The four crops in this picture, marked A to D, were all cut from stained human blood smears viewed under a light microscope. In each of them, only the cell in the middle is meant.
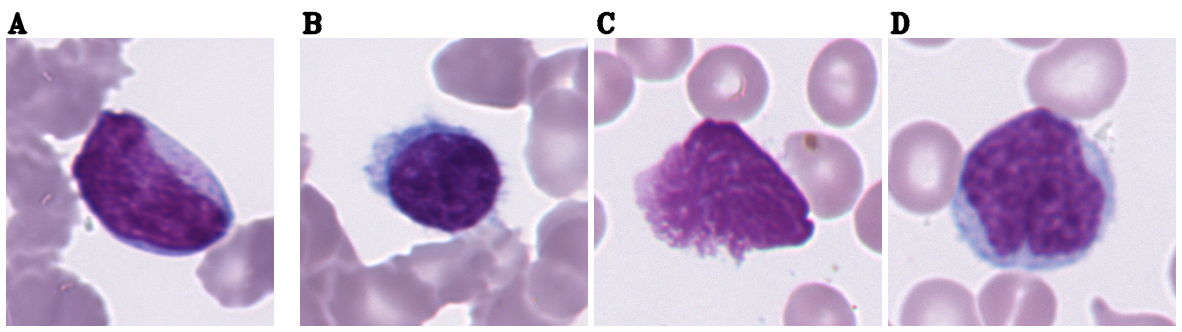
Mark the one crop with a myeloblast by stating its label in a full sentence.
It is crop A, not any other, that shows a myeloblast.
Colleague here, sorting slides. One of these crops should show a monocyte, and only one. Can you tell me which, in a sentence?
The crop that shows a monocyte is crop D.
